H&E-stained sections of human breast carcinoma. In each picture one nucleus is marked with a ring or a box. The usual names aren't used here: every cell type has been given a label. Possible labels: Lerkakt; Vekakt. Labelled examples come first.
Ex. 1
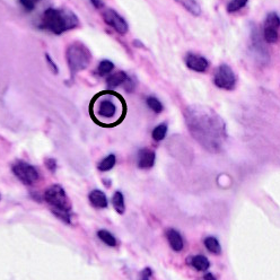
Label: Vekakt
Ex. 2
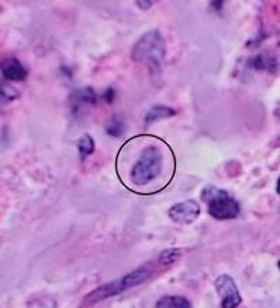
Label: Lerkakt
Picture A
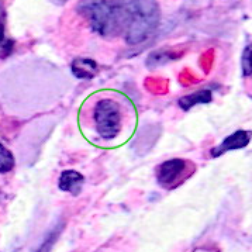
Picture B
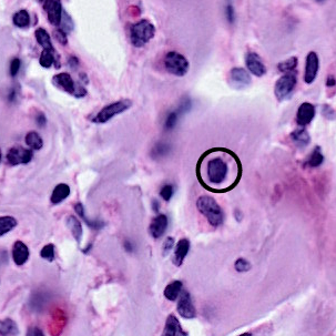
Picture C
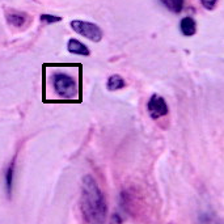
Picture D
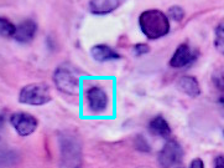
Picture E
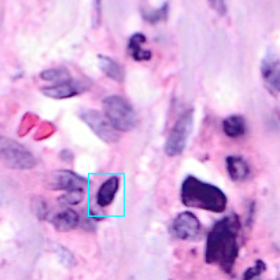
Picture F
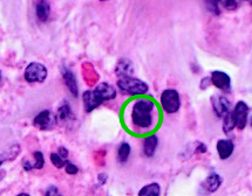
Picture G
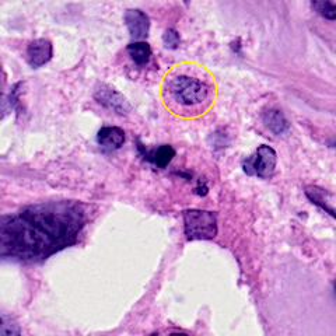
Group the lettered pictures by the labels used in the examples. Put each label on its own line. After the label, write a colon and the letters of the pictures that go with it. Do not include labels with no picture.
Lerkakt: A, C, G
Vekakt: B, D, E, F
